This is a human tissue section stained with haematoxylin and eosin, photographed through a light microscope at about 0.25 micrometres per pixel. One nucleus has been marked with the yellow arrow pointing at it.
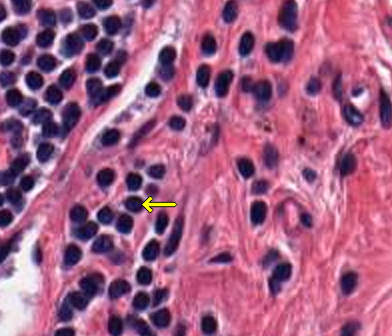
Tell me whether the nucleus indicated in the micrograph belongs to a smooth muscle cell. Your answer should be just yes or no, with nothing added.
no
